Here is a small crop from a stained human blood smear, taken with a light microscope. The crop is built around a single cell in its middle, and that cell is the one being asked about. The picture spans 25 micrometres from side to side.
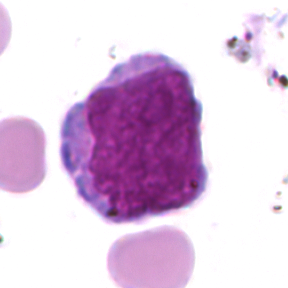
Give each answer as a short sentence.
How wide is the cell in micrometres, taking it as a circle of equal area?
Taken as a circle, the cell has a diameter of about 14 micrometres.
